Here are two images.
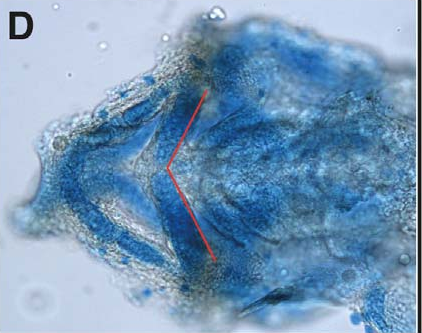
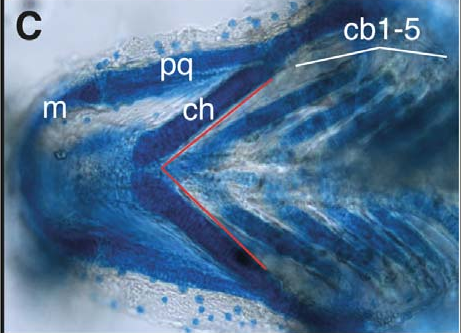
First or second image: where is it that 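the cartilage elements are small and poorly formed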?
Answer: The first image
